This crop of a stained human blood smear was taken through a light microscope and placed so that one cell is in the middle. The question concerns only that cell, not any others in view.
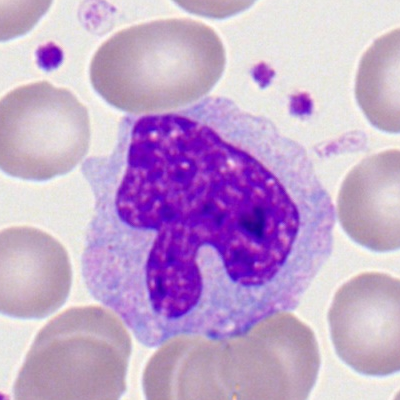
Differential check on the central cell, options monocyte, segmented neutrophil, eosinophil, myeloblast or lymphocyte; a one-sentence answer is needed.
The middle of this crop holds a monocyte.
